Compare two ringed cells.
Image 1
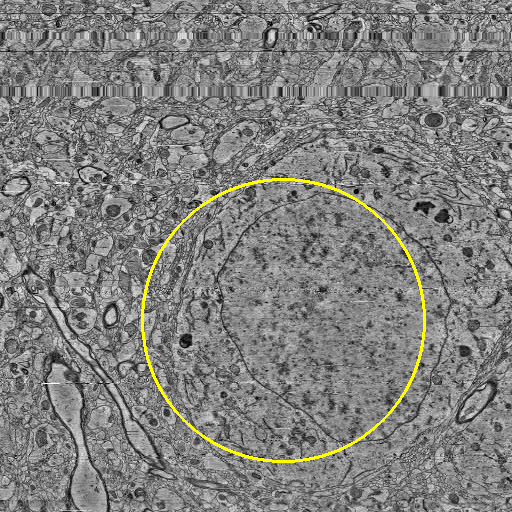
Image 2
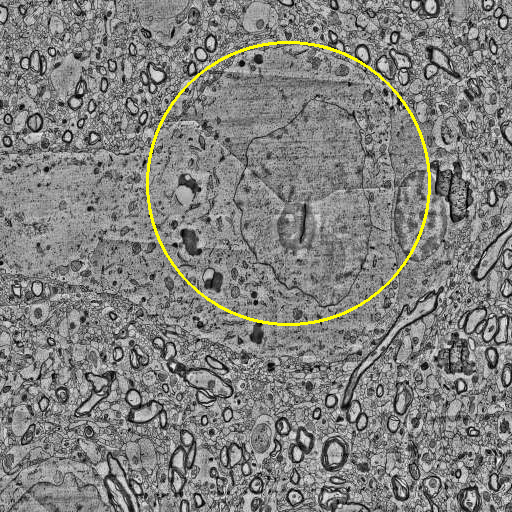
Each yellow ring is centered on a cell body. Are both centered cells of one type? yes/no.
yes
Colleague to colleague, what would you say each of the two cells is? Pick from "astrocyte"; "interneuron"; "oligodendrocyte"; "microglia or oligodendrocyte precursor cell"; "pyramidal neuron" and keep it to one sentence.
In both pictures the ring is centred on a pyramidal neuron.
